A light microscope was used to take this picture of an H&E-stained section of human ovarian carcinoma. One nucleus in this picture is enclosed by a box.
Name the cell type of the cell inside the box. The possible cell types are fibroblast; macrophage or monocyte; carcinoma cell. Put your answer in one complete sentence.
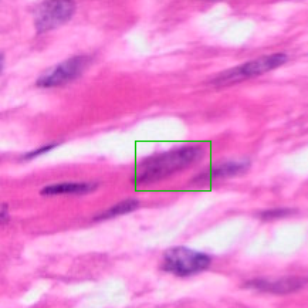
The cell meant here is a fibroblast.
